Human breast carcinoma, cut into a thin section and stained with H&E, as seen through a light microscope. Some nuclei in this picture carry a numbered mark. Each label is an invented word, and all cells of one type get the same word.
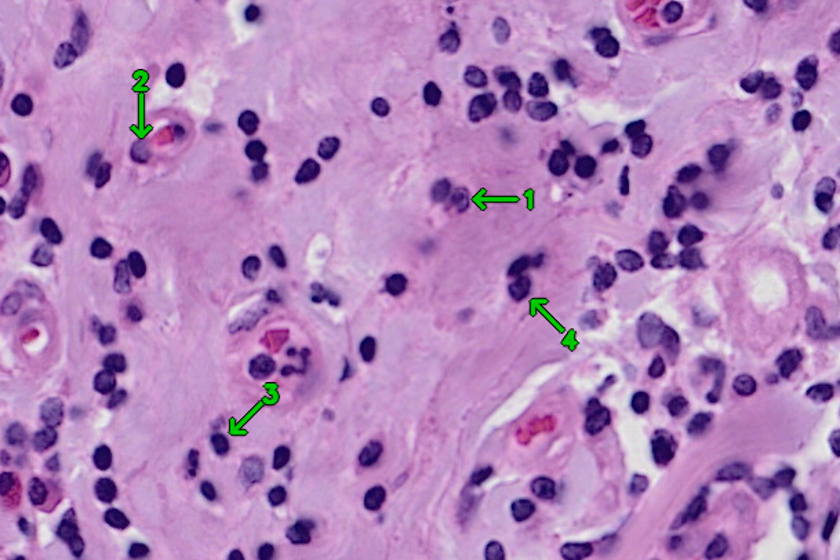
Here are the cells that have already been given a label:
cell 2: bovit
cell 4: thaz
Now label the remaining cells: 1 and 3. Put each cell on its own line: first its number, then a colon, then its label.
1: thaz
3: thaz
